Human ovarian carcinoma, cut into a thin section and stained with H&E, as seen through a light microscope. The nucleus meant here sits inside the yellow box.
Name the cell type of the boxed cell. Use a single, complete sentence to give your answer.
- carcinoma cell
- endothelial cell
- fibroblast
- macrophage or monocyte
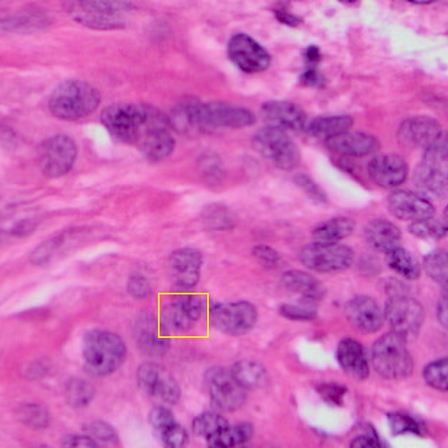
What the boxed cell represents is a carcinoma cell.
